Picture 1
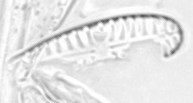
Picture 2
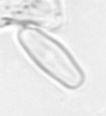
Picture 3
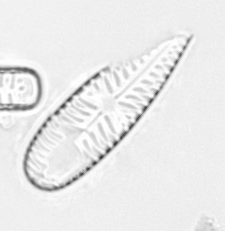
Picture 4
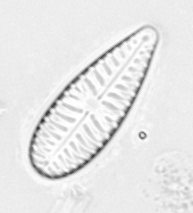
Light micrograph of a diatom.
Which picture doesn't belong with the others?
Picture 2.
